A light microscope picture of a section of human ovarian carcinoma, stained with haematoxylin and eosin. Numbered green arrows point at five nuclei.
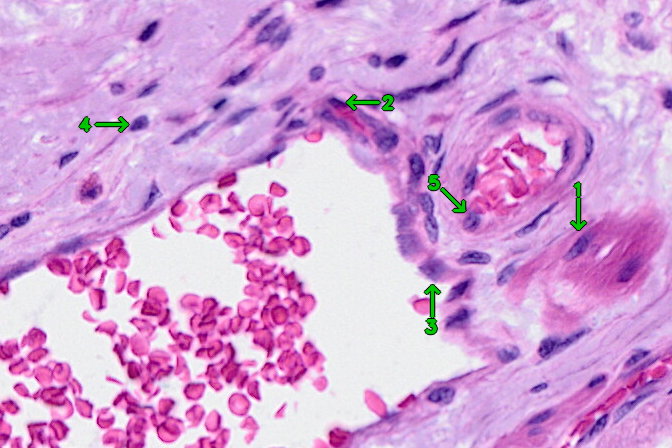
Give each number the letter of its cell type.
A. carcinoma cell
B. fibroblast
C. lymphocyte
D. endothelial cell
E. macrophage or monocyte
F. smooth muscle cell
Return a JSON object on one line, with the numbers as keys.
{"1": "F", "2": "D", "3": "D", "4": "C", "5": "D"}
